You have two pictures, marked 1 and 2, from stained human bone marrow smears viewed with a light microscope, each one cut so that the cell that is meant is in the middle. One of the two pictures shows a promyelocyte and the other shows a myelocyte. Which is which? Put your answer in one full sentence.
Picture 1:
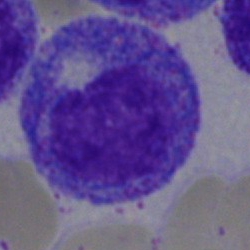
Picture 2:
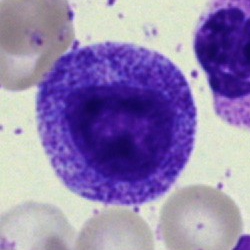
It is picture 1 that shows a promyelocyte, and picture 2 that shows a myelocyte.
